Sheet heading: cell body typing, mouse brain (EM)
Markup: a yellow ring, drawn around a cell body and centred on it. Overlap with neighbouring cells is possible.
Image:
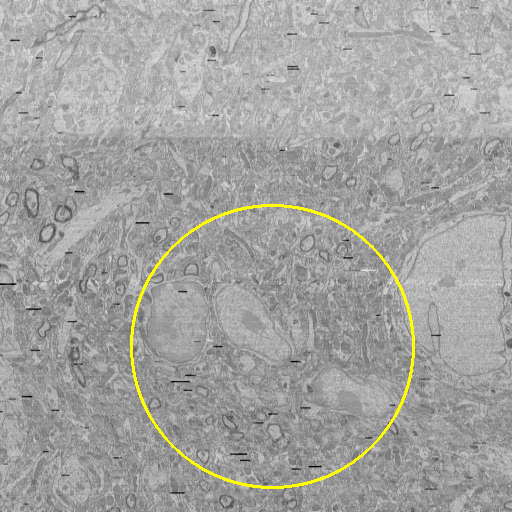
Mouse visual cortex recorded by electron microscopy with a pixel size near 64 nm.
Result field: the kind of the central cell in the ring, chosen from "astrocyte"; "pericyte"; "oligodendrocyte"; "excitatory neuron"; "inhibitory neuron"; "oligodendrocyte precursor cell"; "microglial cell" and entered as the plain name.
oligodendrocyte precursor cell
